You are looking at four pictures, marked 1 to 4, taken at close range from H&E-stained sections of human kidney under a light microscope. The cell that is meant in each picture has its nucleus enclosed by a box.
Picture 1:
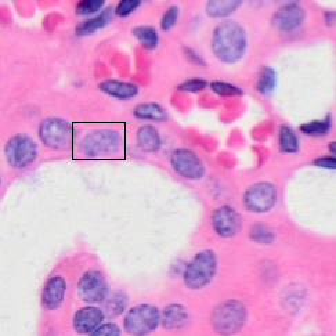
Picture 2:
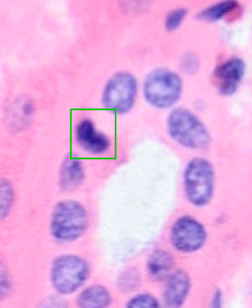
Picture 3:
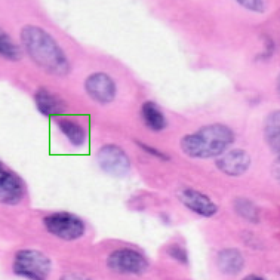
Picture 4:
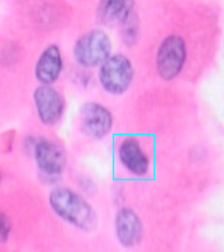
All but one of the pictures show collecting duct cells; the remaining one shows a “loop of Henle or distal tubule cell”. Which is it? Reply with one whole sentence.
The “loop of Henle or distal tubule cell” is the one in picture 3.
